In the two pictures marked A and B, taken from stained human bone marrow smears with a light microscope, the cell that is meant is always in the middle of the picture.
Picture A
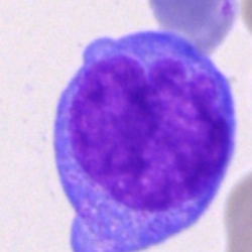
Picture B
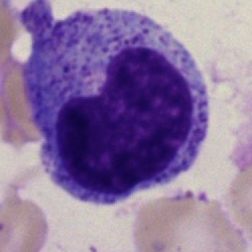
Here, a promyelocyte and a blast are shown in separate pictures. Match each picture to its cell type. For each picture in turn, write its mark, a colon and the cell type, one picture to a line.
A: blast
B: promyelocyte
